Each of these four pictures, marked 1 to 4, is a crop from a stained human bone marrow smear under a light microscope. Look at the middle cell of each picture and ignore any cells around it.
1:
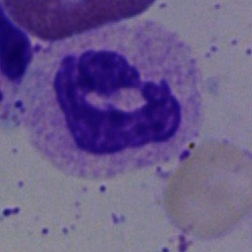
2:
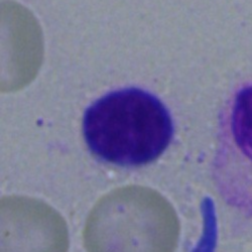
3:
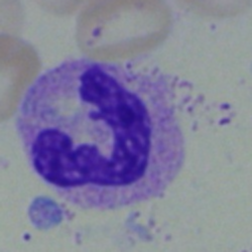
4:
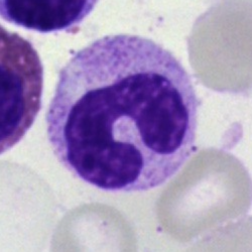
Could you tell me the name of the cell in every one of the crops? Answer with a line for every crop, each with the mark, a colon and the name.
1: segmented neutrophil
2: lymphocyte
3: segmented neutrophil
4: band neutrophil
